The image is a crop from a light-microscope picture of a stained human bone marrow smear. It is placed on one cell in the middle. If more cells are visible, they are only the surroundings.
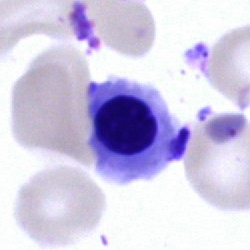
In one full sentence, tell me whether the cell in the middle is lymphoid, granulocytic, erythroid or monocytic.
The cell in the center of the crop is counted in the erythroid lineage.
